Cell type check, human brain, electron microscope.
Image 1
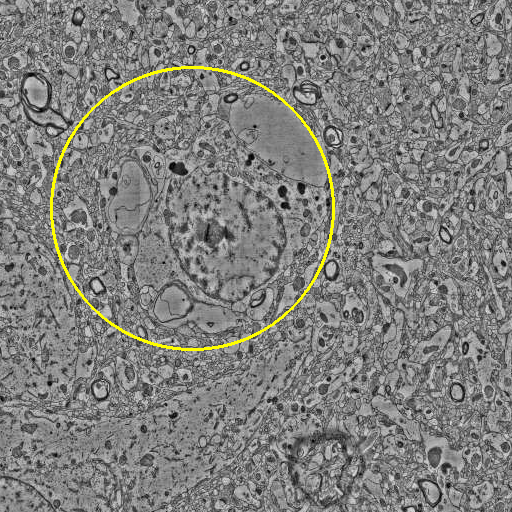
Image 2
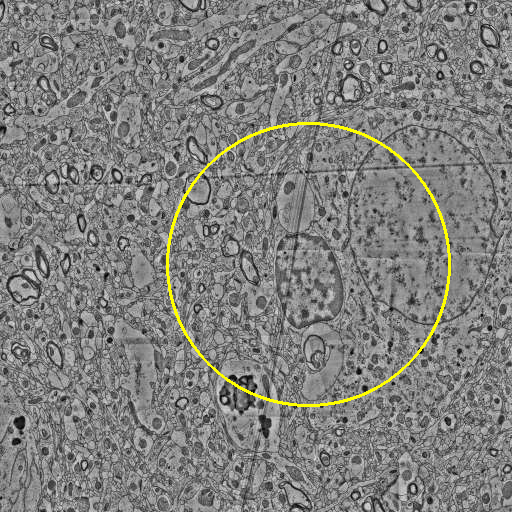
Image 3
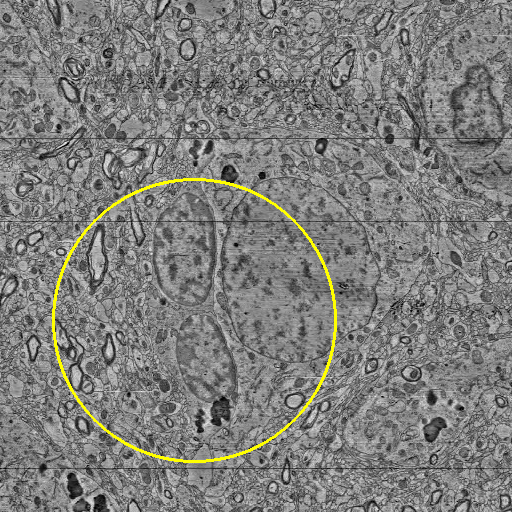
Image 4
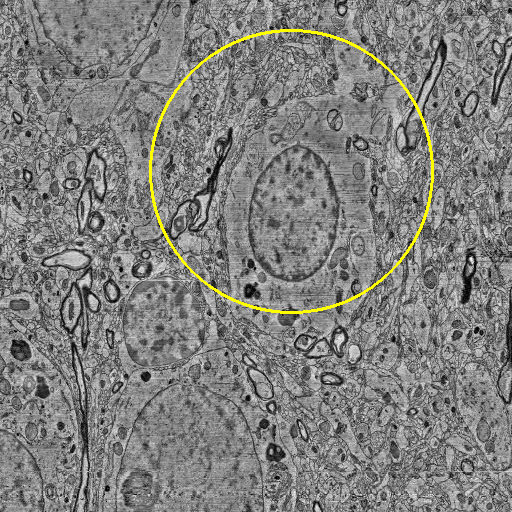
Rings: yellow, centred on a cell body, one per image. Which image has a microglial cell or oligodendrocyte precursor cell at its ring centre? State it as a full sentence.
The ring in Image 2 is centred on it.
